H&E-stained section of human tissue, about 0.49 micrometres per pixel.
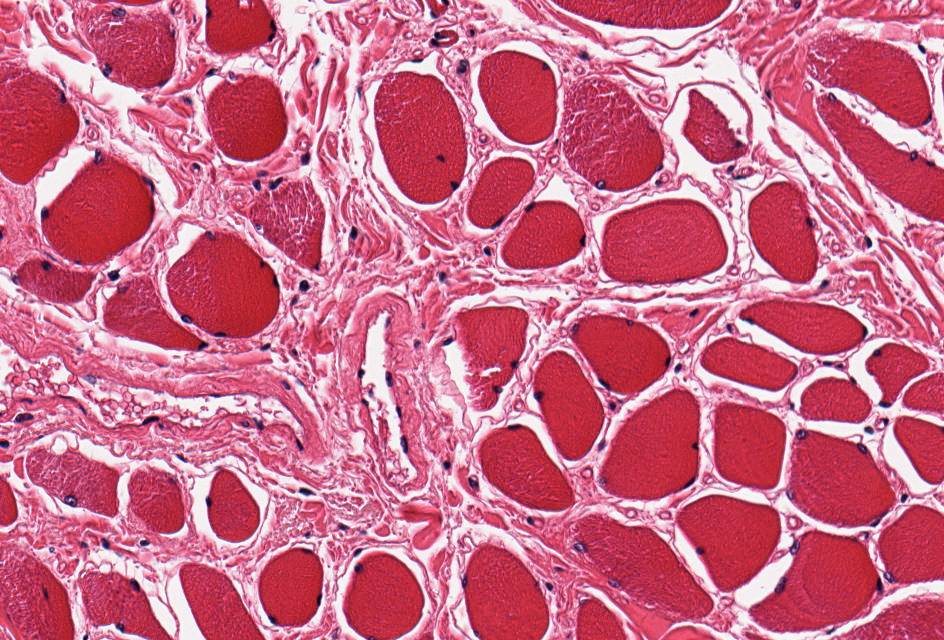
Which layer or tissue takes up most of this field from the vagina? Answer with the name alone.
skeletal muscle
